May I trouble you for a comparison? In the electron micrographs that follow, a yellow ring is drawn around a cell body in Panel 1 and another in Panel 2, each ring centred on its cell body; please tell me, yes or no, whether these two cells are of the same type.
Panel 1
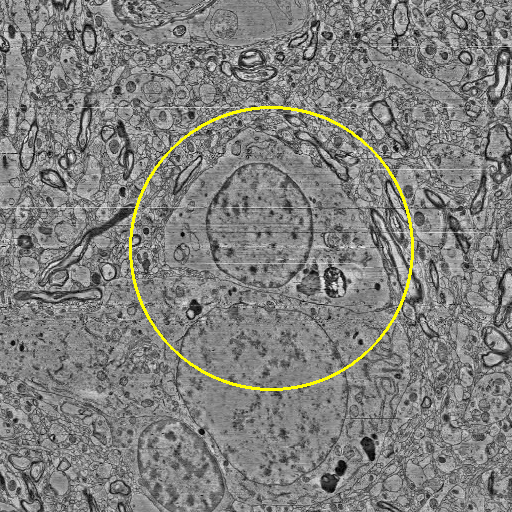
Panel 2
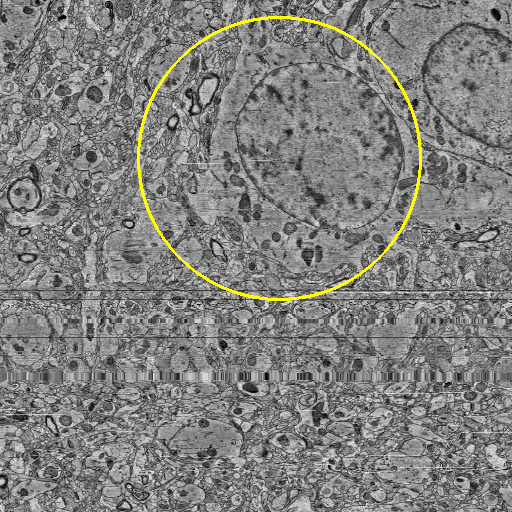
yes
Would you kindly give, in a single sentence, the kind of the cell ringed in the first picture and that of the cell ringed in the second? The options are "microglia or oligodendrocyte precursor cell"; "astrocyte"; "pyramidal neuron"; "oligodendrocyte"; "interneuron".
Both cells are the same kind, each one being an astrocyte.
